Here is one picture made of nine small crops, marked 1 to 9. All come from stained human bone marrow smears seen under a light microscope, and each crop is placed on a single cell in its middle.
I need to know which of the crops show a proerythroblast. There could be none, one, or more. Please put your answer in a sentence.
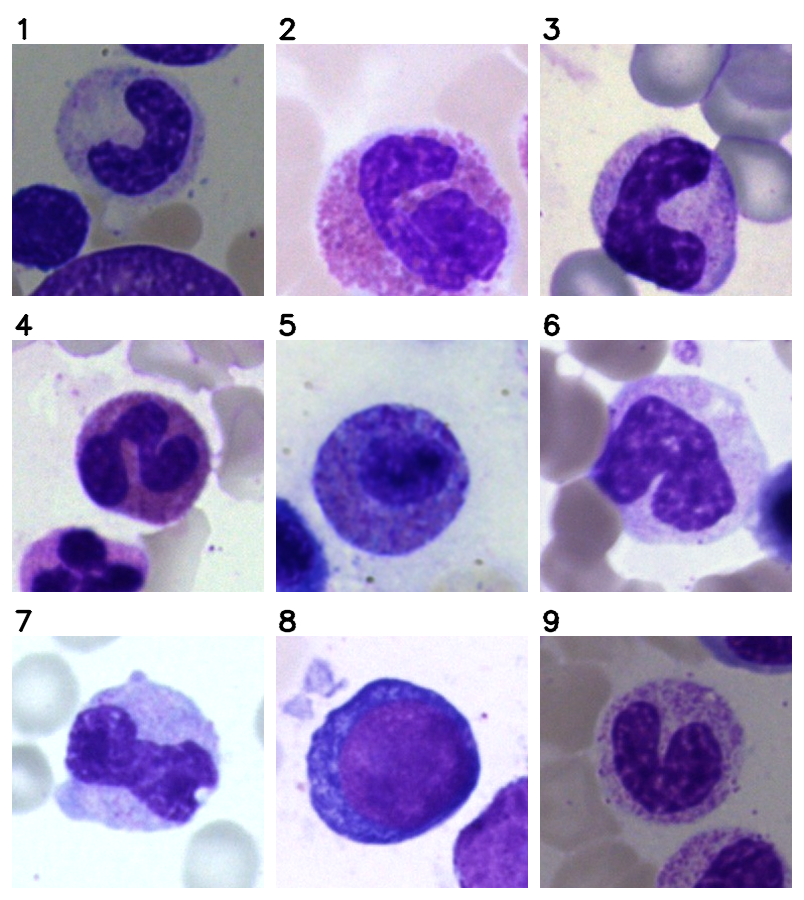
Crop 8 is unique among the crops in showing a proerythroblast.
